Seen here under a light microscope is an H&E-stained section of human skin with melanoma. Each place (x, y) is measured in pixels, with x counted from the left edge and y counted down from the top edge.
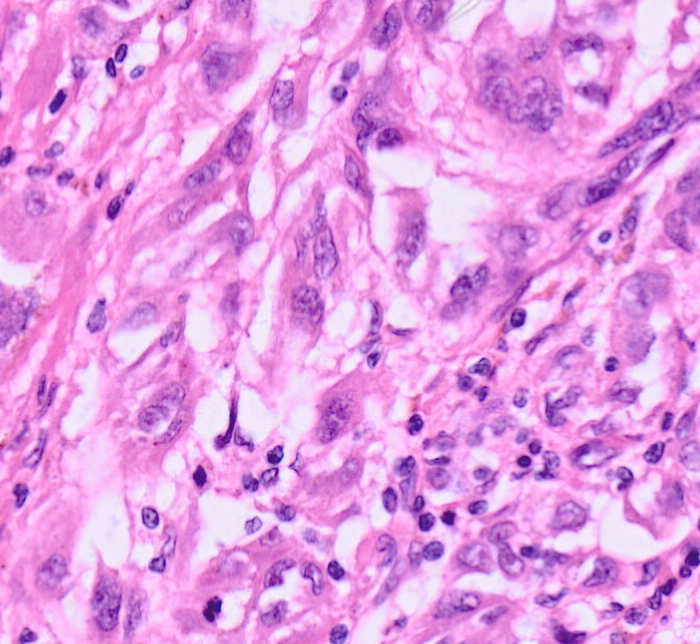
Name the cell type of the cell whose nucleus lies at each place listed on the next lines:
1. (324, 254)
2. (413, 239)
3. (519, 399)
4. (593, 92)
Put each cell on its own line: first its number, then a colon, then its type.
1: melanoma cell
2: melanoma cell
3: lymphocyte
4: melanoma cell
